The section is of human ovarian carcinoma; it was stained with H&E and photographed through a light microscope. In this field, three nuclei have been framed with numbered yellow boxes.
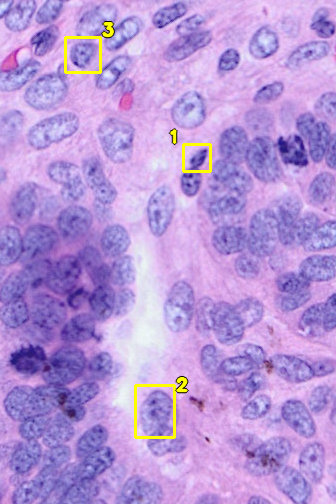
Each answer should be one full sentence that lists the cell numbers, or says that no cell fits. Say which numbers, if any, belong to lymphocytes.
Cell 1 is a lymphocyte, and this holds for no other numbered cell.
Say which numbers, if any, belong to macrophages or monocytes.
Only the cell with the number 3 is a macrophage or monocyte.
